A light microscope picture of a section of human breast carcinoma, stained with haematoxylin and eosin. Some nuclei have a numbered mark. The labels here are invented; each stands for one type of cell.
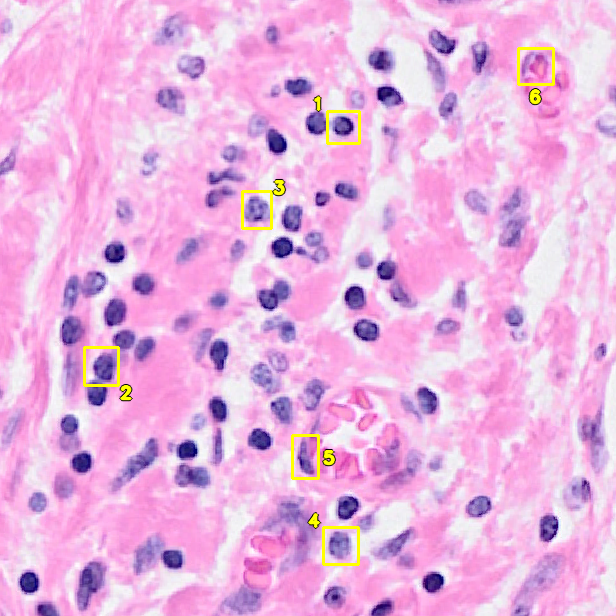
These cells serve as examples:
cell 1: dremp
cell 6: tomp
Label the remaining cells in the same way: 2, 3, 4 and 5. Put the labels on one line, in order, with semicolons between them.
dremp; dremp; dremp; tomp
